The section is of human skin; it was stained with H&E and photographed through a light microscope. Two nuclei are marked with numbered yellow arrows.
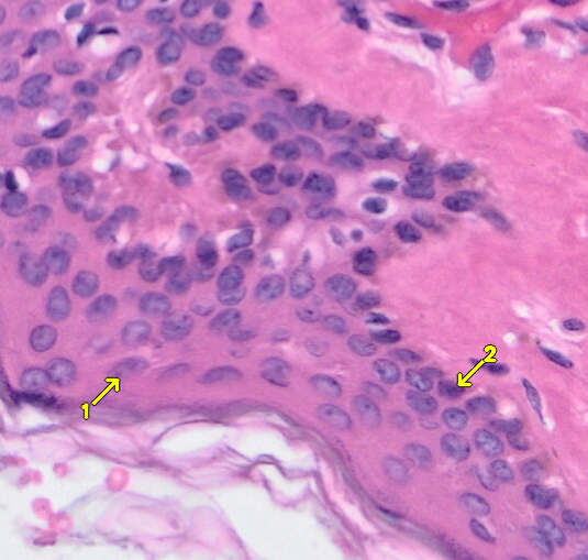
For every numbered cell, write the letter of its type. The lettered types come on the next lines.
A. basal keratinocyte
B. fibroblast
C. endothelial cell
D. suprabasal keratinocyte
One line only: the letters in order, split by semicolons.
D; A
